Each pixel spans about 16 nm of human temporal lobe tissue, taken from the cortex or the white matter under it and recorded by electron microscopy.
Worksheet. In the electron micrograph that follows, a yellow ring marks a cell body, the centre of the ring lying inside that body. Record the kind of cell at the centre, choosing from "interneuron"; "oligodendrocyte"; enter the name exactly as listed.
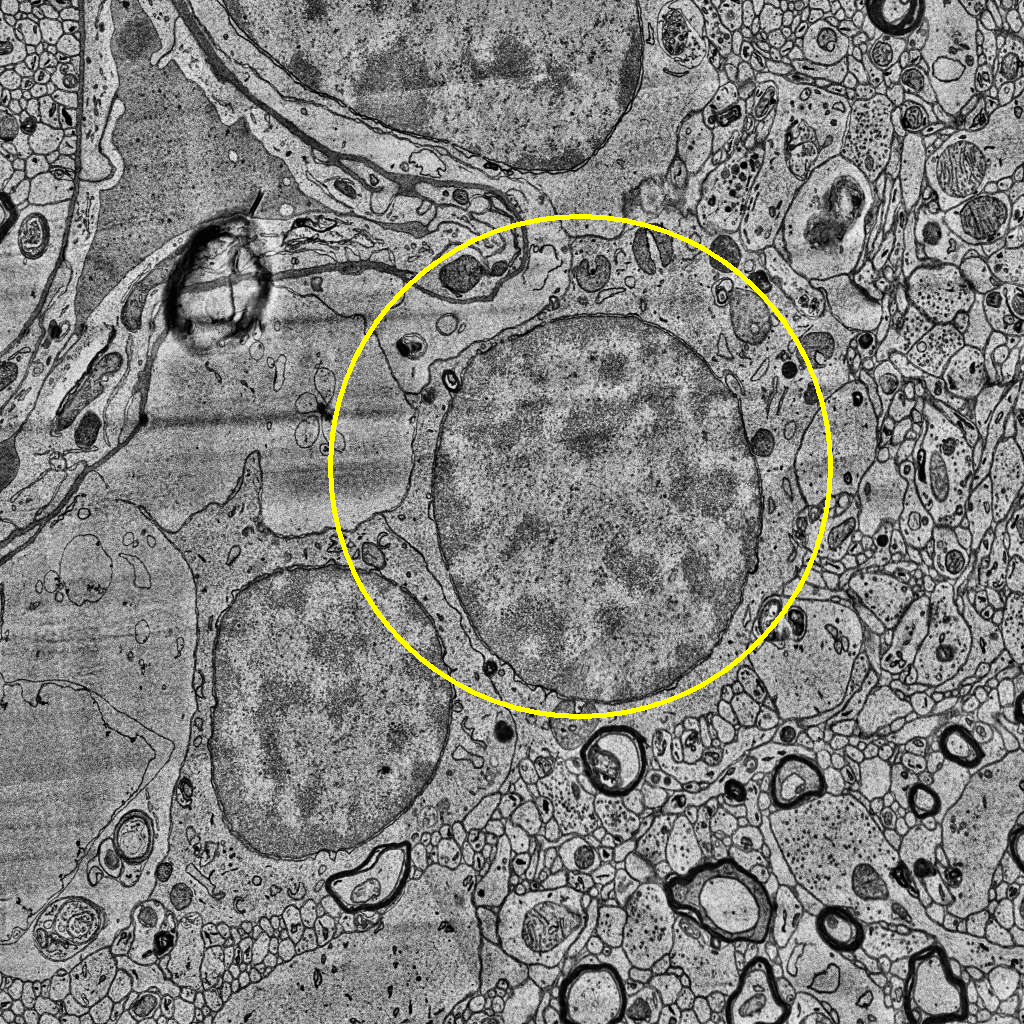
oligodendrocyte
